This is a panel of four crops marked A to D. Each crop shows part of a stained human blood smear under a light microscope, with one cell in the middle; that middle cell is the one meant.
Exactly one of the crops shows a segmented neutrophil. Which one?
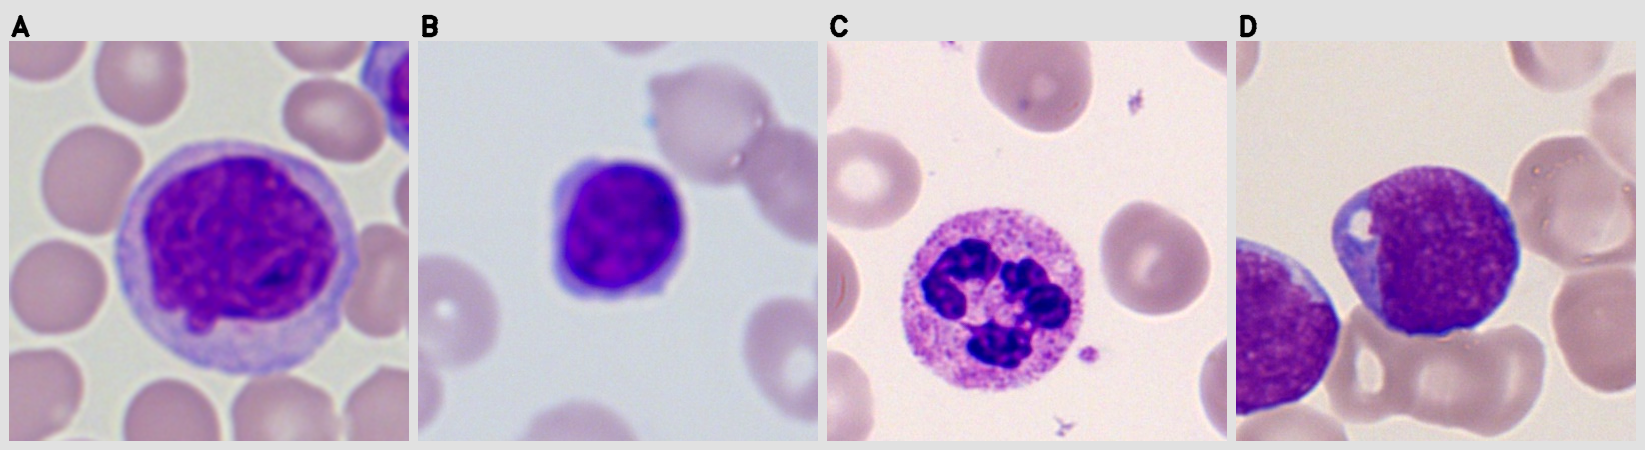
C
